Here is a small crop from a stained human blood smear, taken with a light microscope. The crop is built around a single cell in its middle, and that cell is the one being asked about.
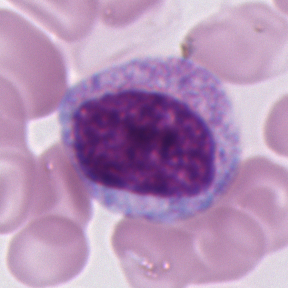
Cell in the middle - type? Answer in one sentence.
Regarding the central cell, it is a myelocyte.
